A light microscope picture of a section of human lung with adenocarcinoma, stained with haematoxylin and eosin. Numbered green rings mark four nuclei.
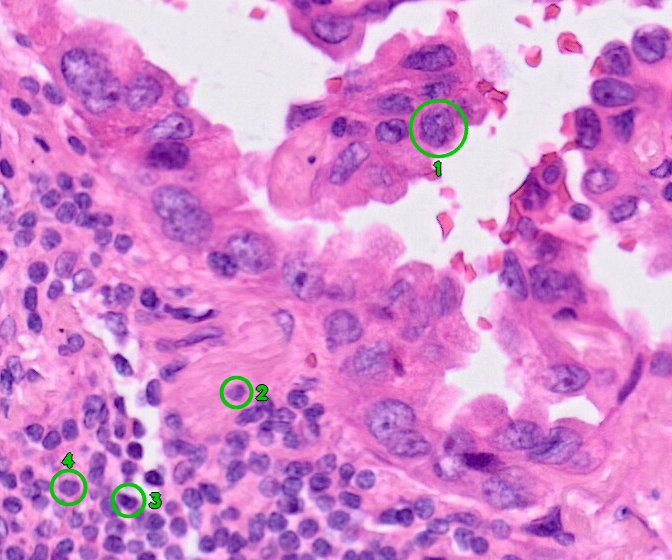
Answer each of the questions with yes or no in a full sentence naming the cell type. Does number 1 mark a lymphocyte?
No, the cell given number 1 is a carcinoma cell, not a lymphocyte.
